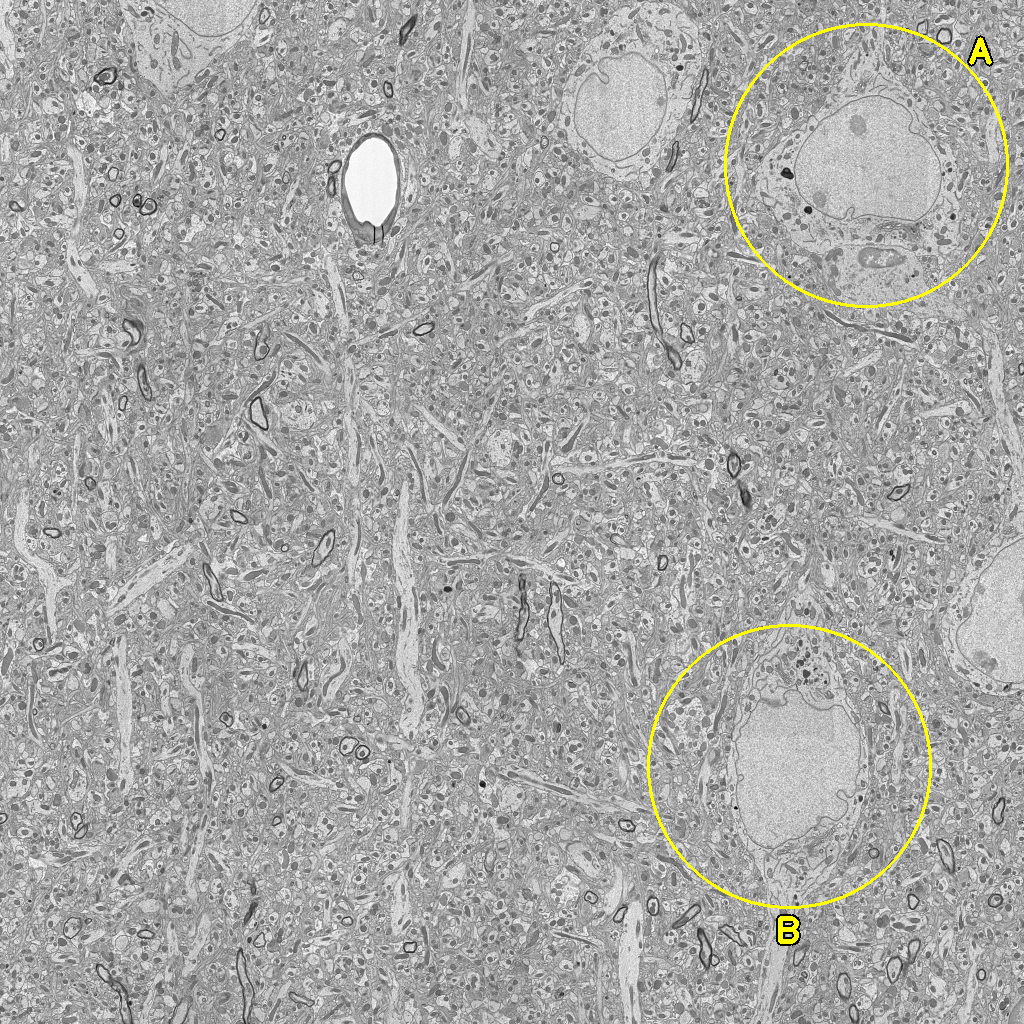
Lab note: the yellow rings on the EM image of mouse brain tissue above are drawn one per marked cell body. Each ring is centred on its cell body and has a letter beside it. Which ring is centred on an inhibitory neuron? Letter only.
B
